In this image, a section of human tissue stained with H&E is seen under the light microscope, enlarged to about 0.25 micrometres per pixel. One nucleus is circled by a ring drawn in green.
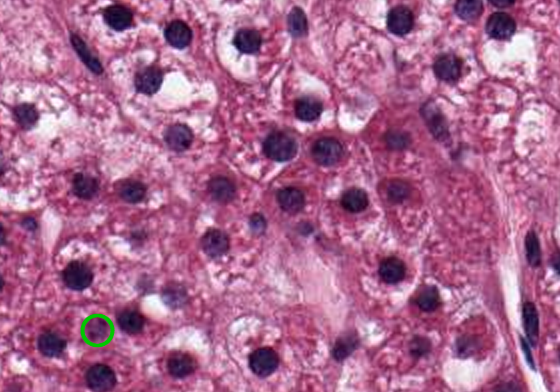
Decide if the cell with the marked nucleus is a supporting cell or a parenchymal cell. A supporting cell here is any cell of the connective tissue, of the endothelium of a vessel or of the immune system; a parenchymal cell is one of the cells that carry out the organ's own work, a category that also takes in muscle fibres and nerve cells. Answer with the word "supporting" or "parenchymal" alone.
parenchymal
